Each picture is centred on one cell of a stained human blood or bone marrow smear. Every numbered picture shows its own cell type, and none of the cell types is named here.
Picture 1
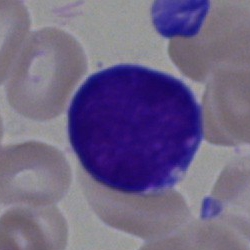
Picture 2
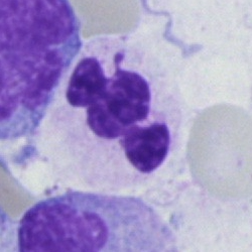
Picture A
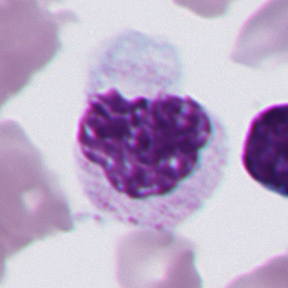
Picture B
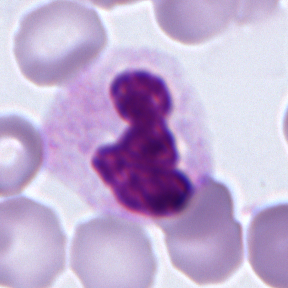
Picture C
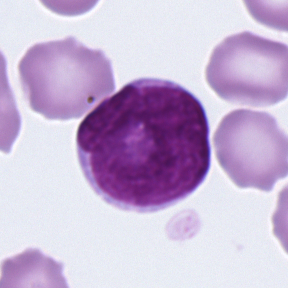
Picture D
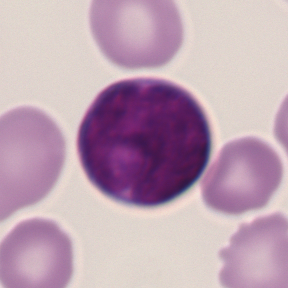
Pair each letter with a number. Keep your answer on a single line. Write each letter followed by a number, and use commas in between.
A 2, B 2, C 1, D 1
